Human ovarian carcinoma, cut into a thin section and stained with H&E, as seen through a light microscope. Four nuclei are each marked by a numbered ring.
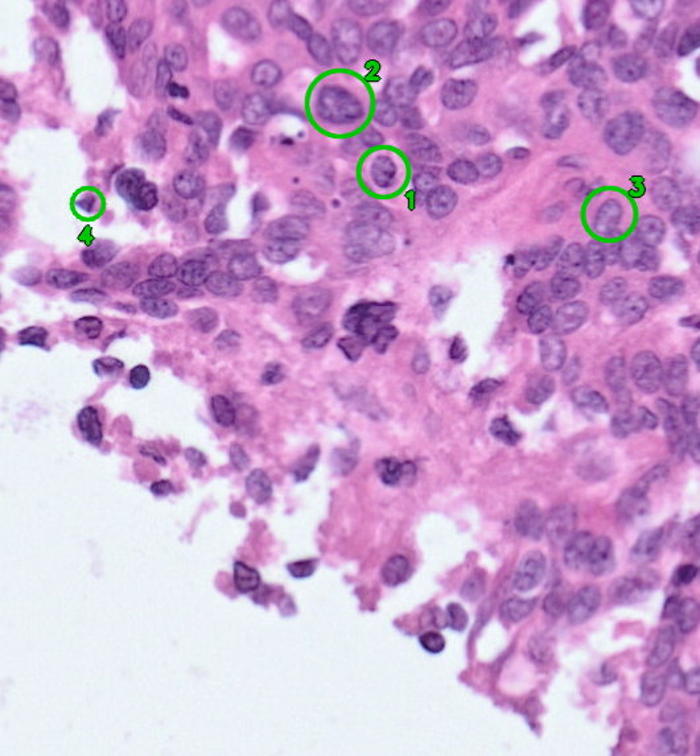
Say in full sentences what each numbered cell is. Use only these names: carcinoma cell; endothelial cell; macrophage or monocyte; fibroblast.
Cell 1 is a macrophage or monocyte. Cells 2, 3 and 4 are carcinoma cells.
